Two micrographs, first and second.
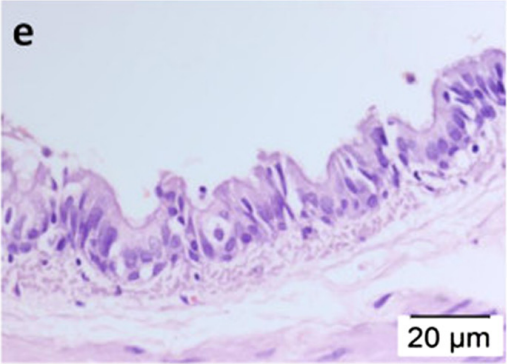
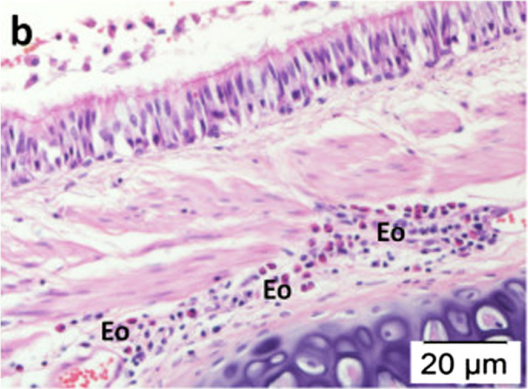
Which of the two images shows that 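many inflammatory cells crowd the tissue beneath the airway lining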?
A: the second image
